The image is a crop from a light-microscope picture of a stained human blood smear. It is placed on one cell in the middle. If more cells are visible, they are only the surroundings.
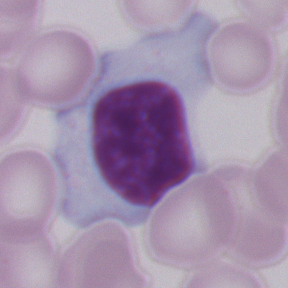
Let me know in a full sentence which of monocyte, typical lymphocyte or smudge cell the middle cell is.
On this slide crop, the central cell is a typical lymphocyte.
